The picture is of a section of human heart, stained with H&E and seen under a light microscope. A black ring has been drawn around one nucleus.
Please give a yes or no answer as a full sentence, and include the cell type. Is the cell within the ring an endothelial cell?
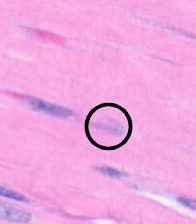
No, it is not an endothelial cell but a cardiomyocyte that the cell within the ring represents.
